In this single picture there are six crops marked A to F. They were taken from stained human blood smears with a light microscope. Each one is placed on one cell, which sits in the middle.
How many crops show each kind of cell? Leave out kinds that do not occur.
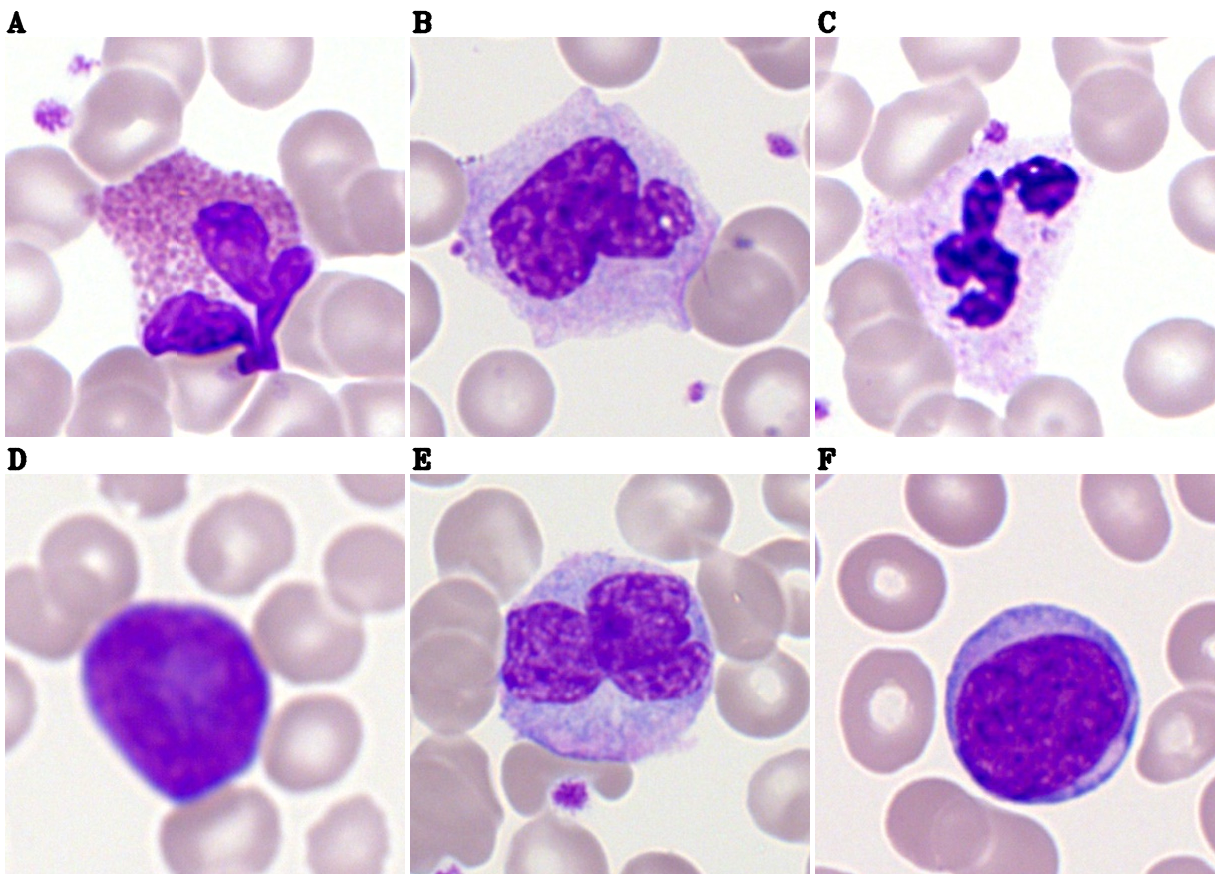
monocyte: 2
blast: 2
eosinophil: 1
neutrophil: 1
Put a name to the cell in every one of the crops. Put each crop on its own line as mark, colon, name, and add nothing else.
A: eosinophil
B: monocyte
C: neutrophil
D: blast
E: monocyte
F: blast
